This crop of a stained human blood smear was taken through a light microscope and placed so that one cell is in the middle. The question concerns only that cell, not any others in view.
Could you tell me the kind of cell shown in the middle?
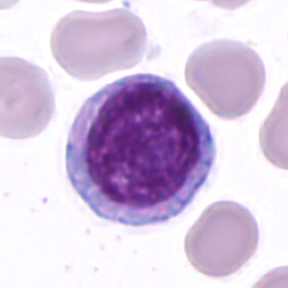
plasma cell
